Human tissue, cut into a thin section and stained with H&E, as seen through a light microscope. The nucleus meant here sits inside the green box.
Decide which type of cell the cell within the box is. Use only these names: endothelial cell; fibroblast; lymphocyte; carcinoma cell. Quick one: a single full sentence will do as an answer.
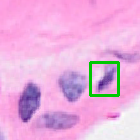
Cytologically, the cell within the box is to be regarded as an endothelial cell.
